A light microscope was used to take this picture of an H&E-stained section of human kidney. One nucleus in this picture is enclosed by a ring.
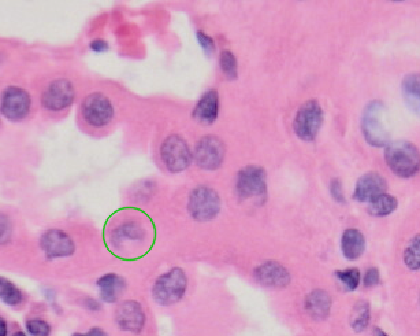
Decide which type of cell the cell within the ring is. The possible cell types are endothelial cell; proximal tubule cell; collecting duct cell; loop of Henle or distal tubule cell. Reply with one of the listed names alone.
loop of Henle or distal tubule cell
